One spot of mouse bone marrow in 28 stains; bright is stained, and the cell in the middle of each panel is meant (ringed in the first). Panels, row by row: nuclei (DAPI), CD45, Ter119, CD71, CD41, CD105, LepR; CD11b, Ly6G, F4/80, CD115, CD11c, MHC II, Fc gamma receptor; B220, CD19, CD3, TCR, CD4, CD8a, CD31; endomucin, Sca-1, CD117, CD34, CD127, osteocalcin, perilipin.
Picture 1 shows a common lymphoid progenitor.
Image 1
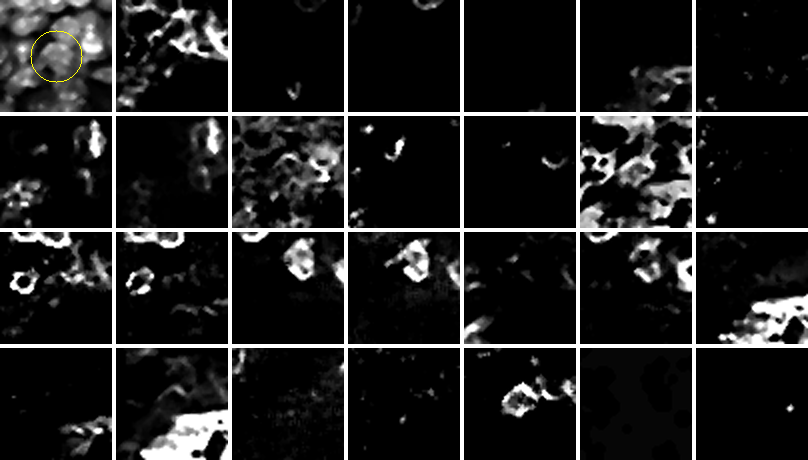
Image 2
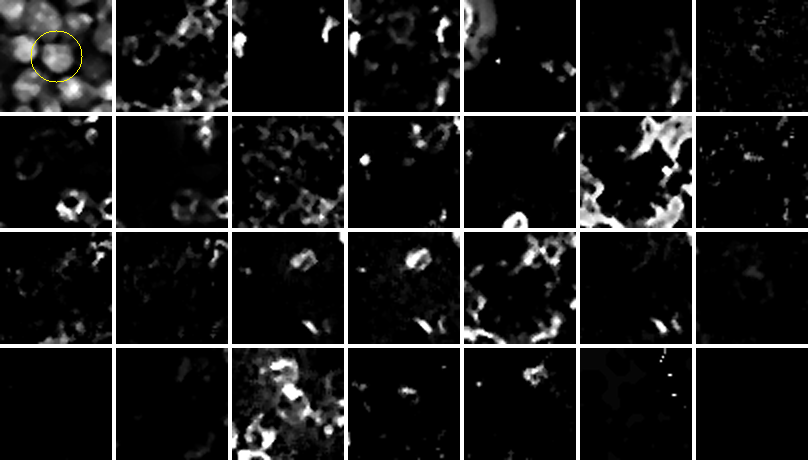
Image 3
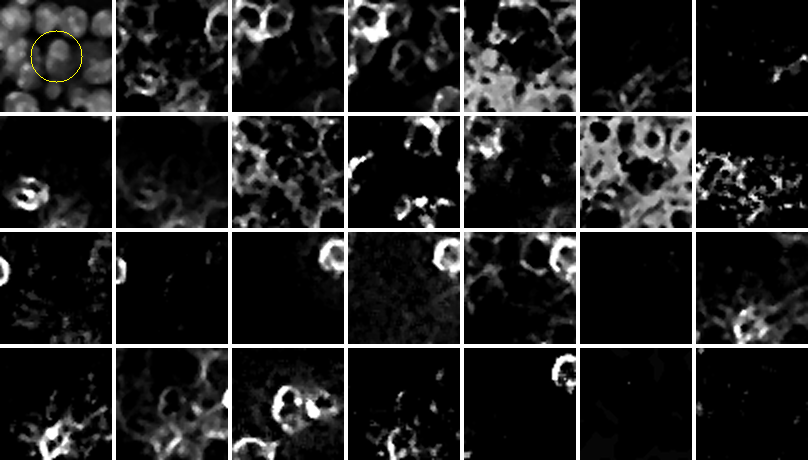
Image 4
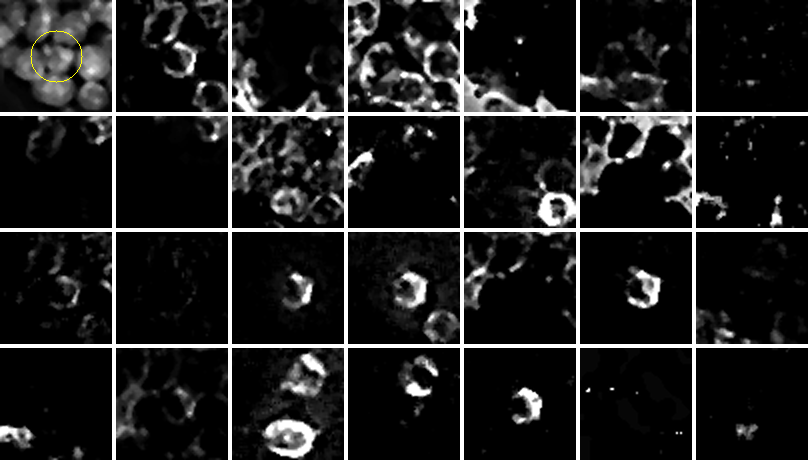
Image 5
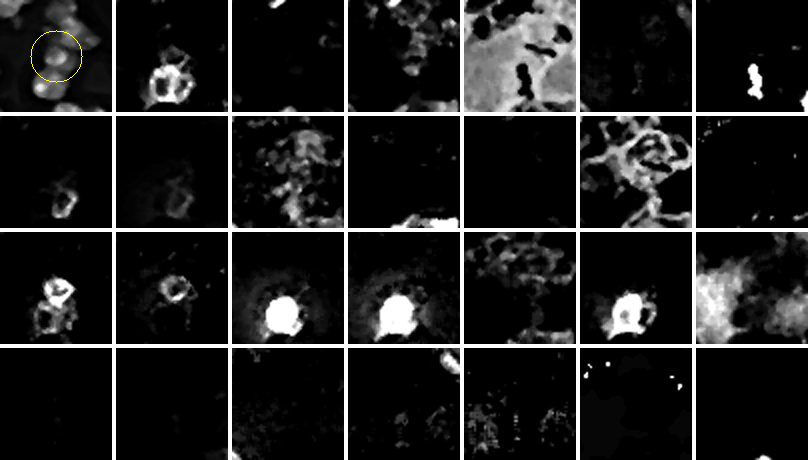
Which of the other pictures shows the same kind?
Picture 4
